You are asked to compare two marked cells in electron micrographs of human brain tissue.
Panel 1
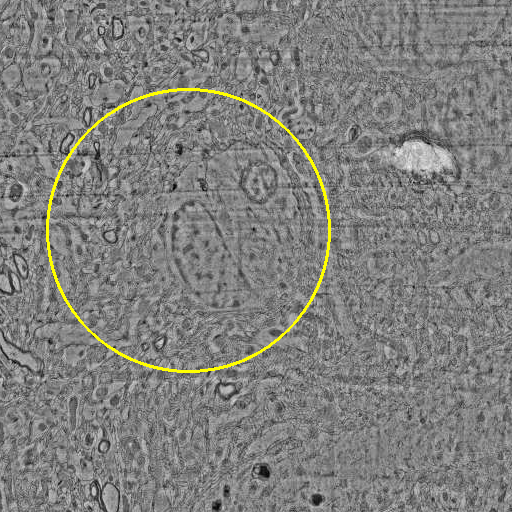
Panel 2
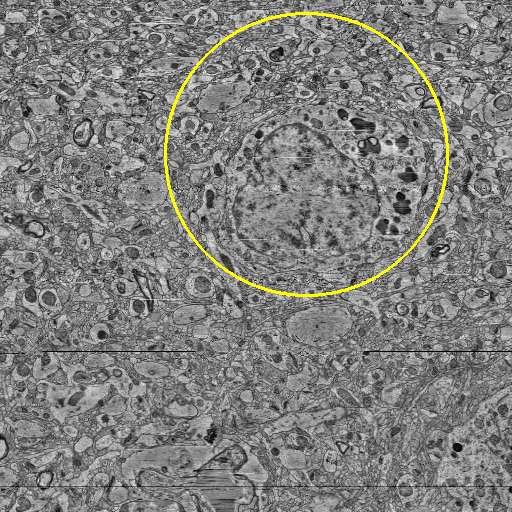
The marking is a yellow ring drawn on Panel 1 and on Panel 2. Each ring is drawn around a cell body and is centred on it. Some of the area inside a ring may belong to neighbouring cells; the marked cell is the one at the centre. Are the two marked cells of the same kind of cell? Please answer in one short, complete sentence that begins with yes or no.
No, the two marked cells are of two kinds.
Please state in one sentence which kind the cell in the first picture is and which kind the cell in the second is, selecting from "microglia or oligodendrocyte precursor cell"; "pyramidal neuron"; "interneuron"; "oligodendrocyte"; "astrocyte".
The first ringed cell is a microglial cell or oligodendrocyte precursor cell, the second ringed cell an interneuron.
